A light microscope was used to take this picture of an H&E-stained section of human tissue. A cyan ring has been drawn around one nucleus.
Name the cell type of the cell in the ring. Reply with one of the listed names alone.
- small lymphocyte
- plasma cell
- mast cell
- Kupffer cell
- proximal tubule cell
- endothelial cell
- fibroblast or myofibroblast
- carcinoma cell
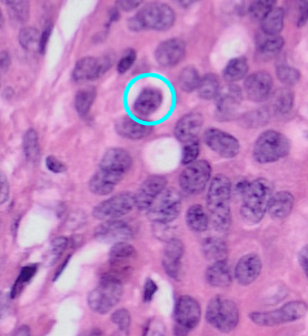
carcinoma cell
